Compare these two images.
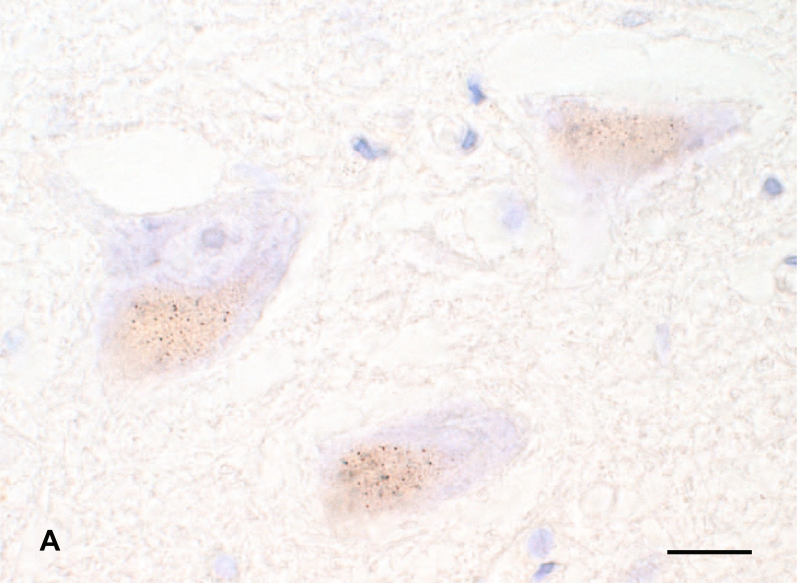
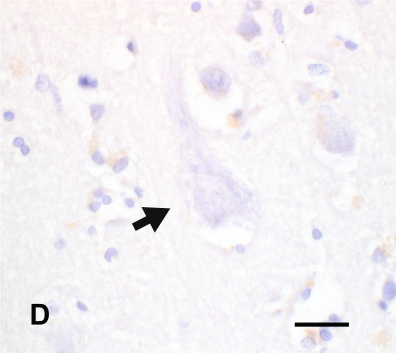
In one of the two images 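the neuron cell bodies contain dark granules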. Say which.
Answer: The first image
